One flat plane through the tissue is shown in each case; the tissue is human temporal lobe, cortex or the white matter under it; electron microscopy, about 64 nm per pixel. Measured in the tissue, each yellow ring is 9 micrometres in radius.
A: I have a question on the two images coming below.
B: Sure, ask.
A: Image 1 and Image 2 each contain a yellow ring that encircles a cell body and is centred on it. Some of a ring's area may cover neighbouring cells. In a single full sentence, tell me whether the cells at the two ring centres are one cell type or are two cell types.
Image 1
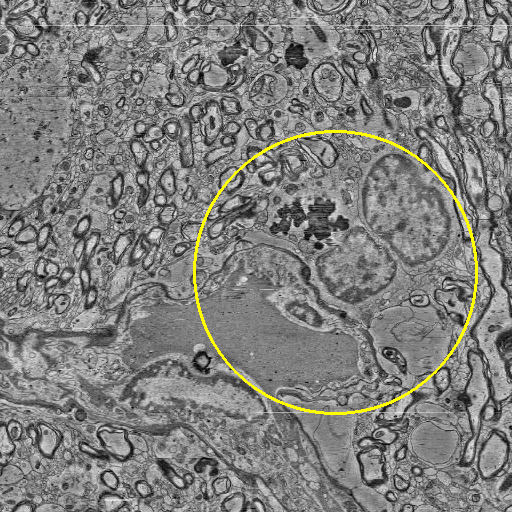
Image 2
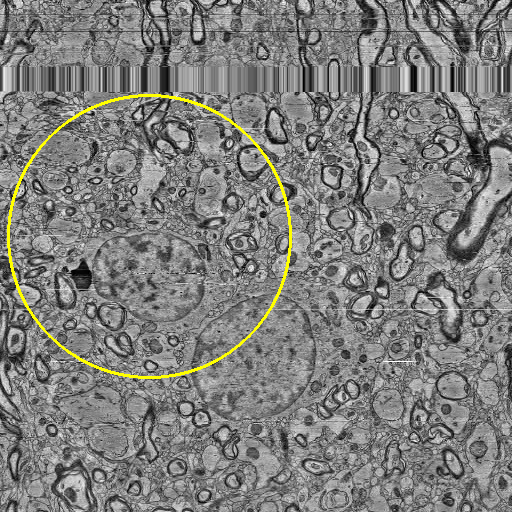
As for the ring-centre cells, the one in Image 1 and the one in Image 2 are one cell type.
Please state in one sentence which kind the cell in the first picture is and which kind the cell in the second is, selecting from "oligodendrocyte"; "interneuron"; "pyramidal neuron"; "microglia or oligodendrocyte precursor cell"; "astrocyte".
Each cell, in the first picture and the second, is an oligodendrocyte.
